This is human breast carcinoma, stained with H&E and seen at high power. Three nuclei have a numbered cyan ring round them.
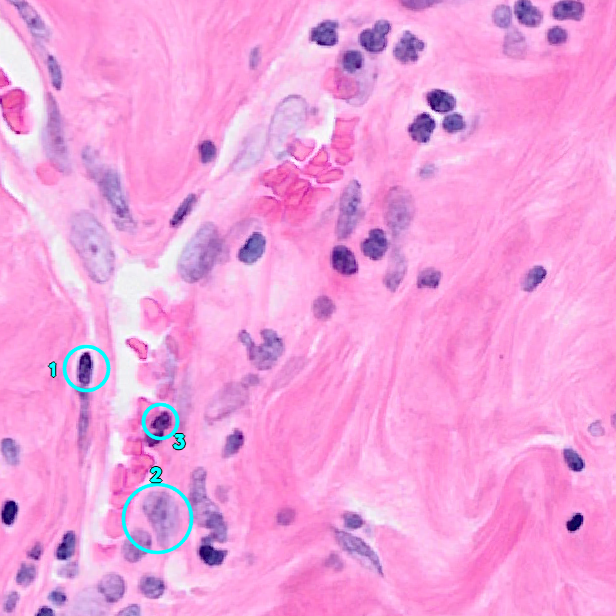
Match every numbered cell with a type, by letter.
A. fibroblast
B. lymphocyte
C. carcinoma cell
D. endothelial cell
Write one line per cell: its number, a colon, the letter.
1: B
2: D
3: D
